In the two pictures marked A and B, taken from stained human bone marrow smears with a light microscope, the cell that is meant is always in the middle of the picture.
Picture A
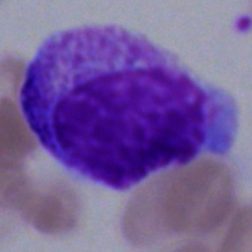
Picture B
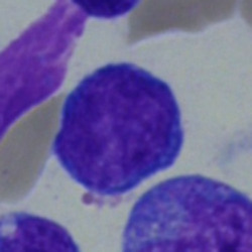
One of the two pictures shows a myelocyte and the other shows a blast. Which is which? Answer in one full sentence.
It is picture A that shows a myelocyte, and picture B that shows a blast.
